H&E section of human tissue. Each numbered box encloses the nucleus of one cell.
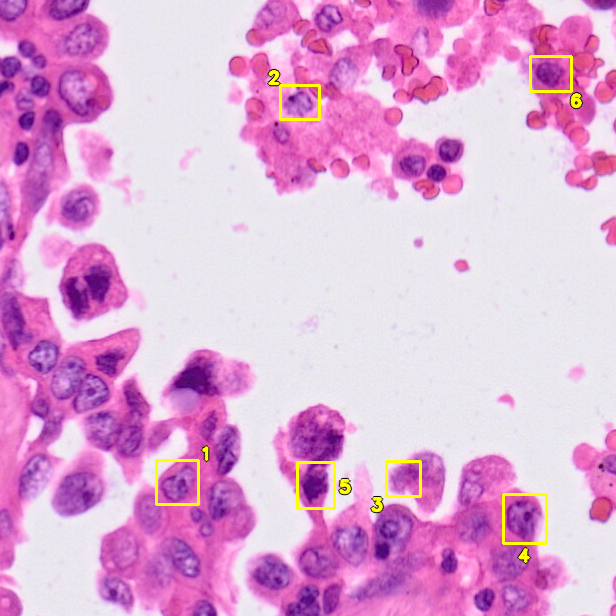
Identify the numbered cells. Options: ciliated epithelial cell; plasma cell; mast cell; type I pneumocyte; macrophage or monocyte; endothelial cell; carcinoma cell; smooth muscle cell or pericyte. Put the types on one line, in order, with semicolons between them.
carcinoma cell; macrophage or monocyte; carcinoma cell; carcinoma cell; carcinoma cell; macrophage or monocyte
